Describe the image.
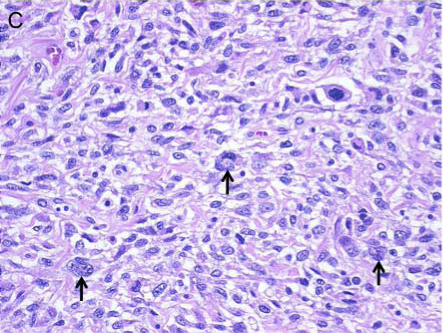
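This is a malignant tumor made of loosely packed spindle-shaped and polygonal cells lying in a pale pink stroma, with no glands to be seen. The nuclei vary a good deal in size and shape; many are oval and vesicular, with visible nucleoli. Scattered among them are large cells carrying several nuclei clustered together, and a few very large, dark, bizarre nuclei stand out. Such marked variation in the nuclei is typical of an aggressive tumor.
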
